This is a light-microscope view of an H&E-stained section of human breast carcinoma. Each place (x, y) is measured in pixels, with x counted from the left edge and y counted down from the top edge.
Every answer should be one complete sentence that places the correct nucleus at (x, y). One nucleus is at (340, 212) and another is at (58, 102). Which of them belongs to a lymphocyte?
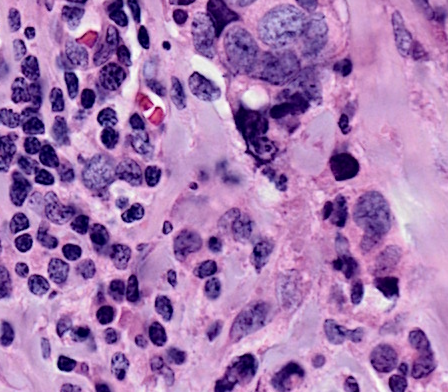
The nucleus found at (58, 102) belongs to a lymphocyte.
